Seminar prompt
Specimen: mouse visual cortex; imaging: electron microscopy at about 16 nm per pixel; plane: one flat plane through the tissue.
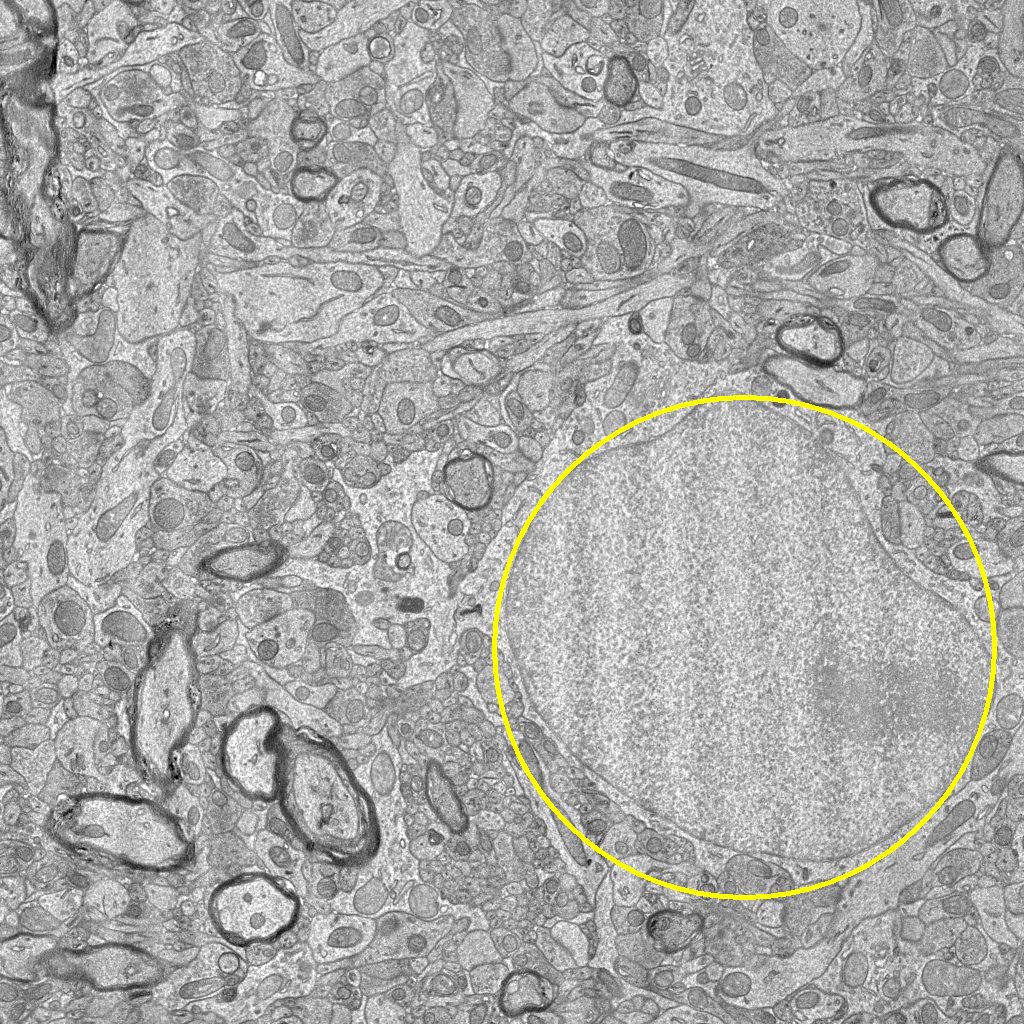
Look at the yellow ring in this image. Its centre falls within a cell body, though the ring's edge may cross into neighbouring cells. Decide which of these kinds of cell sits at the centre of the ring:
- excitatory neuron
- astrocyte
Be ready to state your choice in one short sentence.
The kind of cell at the ring's centre is an astrocyte.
